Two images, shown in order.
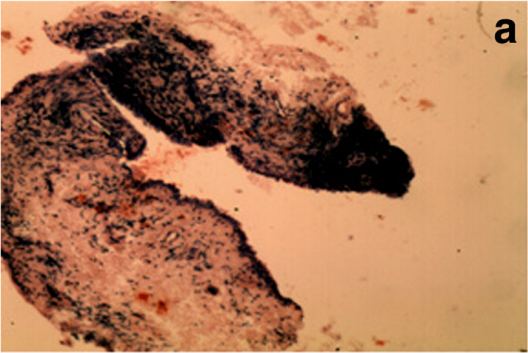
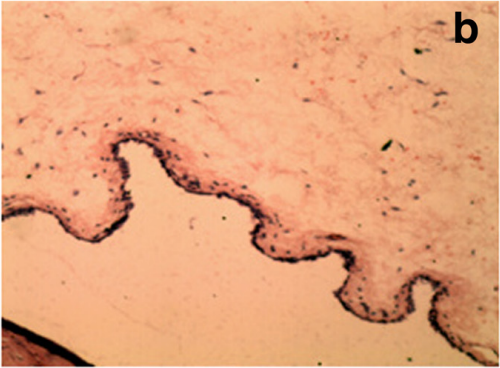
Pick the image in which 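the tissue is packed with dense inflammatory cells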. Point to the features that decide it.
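The first image. Second image: a thin folded lining with a single row of nuclei over loose, sparsely cellular stroma. First image: tissue crowded with dark nuclei, dense enough to look black in places.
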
